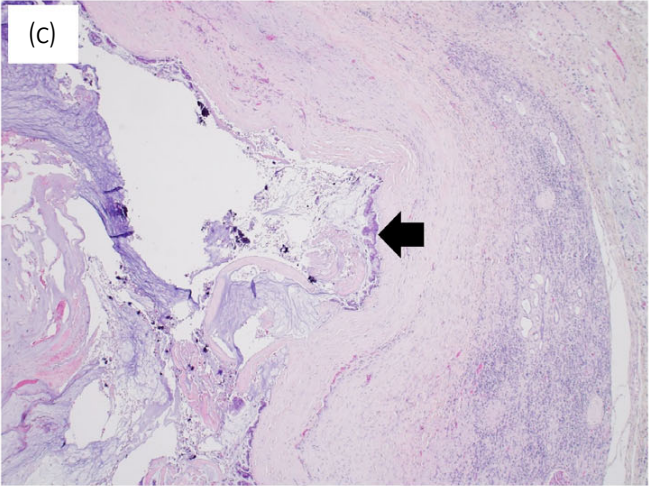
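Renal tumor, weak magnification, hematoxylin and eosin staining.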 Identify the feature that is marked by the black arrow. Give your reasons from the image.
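The arrow points to a thin purple cell layer on the inner surface of a thick fibrous wall. Pale bluish, wispy material fills the space next to this layer. On this evidence: mucinous epithelial.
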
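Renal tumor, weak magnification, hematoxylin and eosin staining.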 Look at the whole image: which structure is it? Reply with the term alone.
Cystic lesion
